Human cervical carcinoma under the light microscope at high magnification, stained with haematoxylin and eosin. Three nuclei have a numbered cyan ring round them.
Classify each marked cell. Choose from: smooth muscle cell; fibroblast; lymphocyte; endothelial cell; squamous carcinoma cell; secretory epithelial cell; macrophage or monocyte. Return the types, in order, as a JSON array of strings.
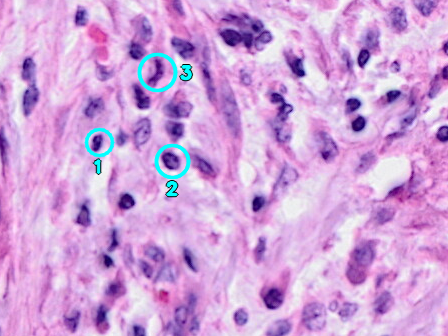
["lymphocyte", "lymphocyte", "macrophage or monocyte"]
